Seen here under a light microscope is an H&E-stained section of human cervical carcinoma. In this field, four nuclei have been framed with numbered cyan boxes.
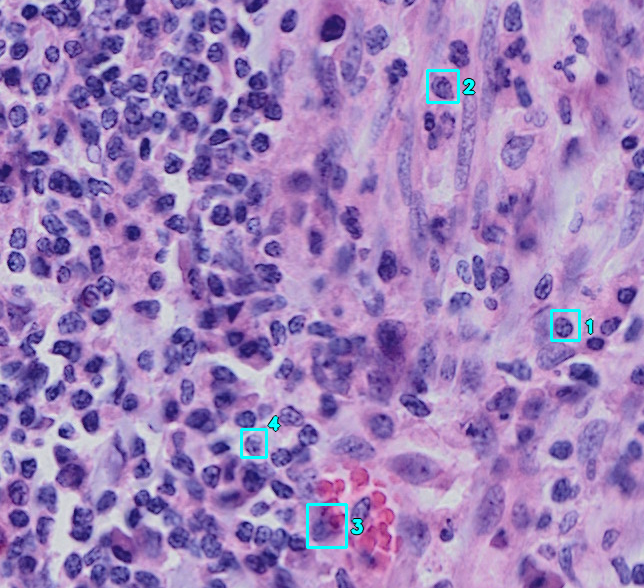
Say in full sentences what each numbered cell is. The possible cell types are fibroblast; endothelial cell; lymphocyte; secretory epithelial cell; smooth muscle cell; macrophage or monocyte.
Cells 1, 2 and 4 are lymphocytes. Cell 3 is an endothelial cell.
